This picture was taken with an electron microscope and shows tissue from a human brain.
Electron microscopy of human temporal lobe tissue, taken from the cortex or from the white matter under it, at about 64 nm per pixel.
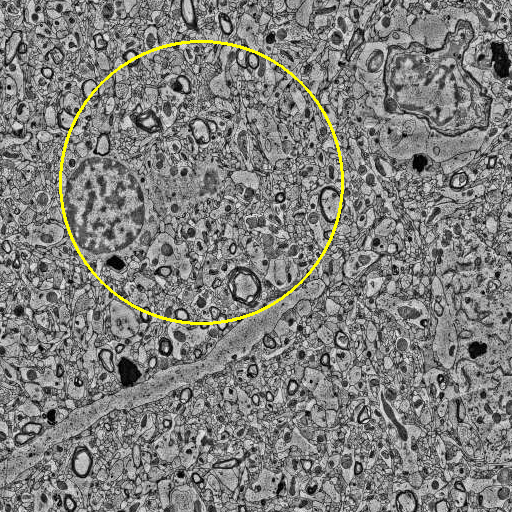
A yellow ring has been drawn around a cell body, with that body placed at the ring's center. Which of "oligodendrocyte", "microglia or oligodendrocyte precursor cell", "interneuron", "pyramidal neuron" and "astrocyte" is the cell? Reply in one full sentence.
In this picture, an oligodendrocyte is the cell at the center of the yellow ring.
